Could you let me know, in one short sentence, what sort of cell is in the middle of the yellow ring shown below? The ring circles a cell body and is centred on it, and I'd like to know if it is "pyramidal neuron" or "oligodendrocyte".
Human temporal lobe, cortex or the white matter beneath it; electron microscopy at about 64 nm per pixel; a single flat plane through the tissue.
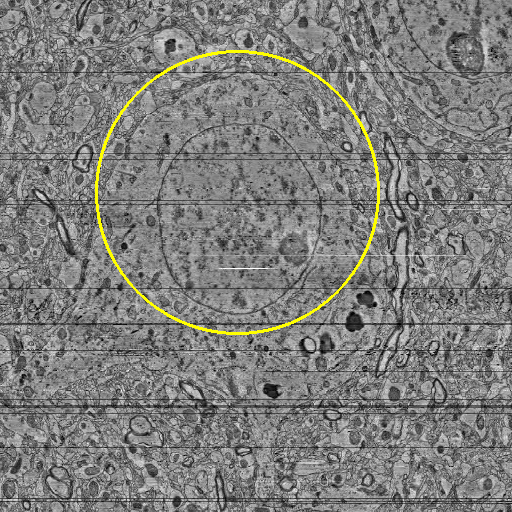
The ring circles the cell body of a pyramidal neuron.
